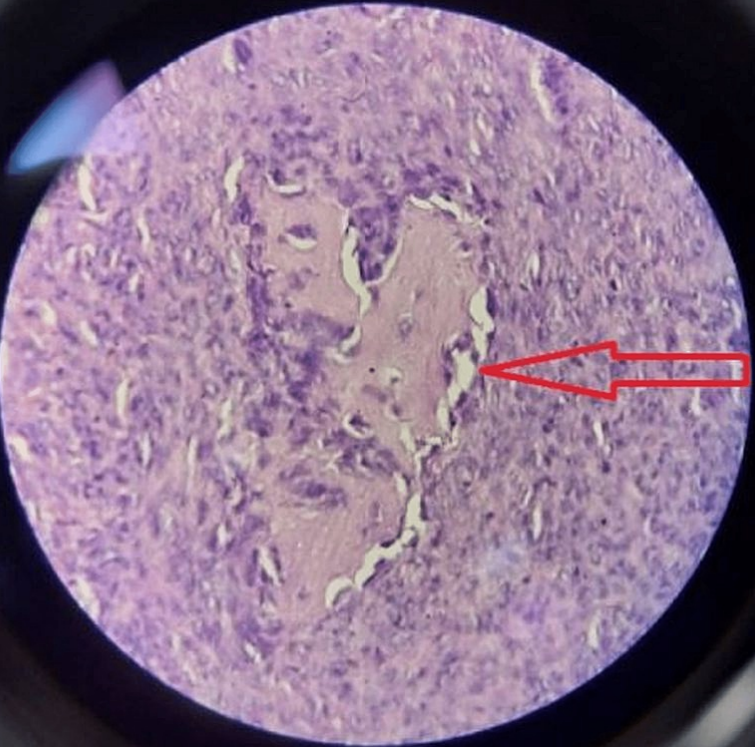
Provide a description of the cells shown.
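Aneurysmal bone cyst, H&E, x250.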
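Seen through the eyepiece is a cellular stroma of bland cells. Many small oval to spindle-shaped nuclei, stained purple, lie closely packed in pale pink cytoplasm and a loose background, running in short, loosely swirling bundles. The nuclei look fairly uniform, without large bizarre forms. In the centre lies a branching island of paler, homogeneous pink matrix. It is bordered by thin white clefts that separate it from the surrounding cells. A red arrow points to one of these clefts at the matrix edge. Darker purple cells crowd along parts of its rim. Narrow white slit-like spaces are also scattered through the stroma.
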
